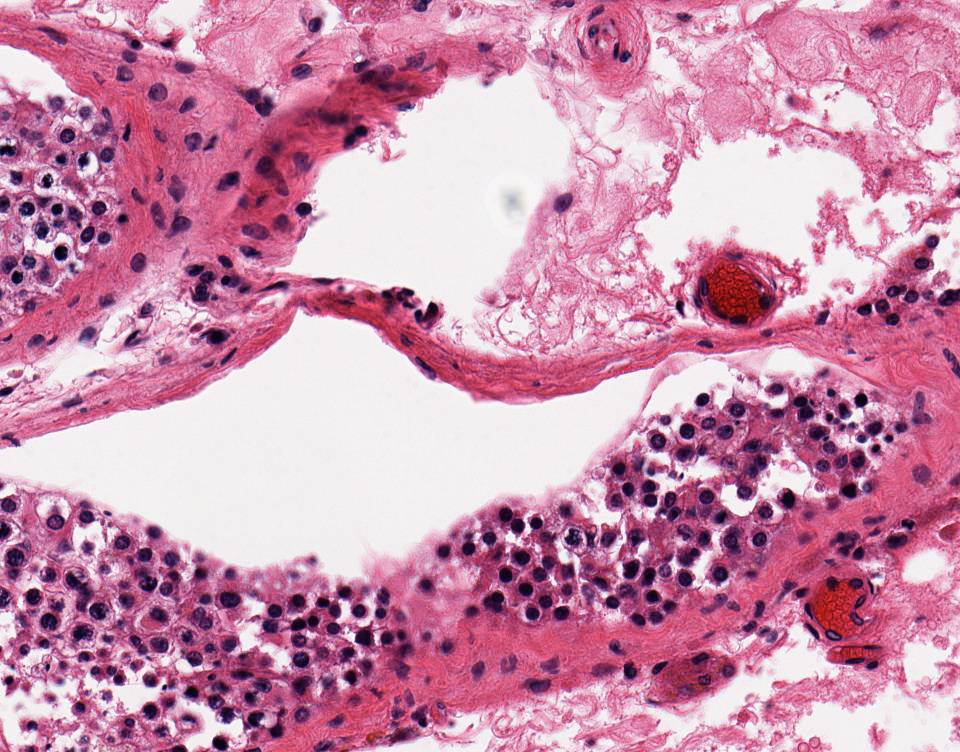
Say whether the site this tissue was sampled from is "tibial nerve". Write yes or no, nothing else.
no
